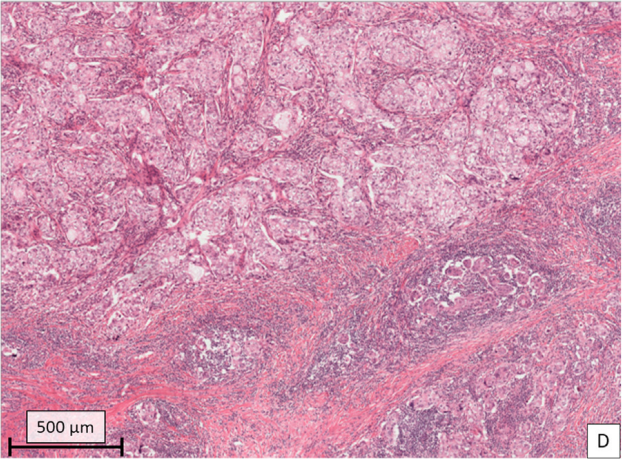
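Carcinoma tissue with an abundant lymphocytic infiltrate. In the upper half, large tumour cells with pale, partly clear cytoplasm form nests and lobules. Thin fibrous septa separate these nests. In the lower half, bands of pink collagenous stroma run across the field. Dense crowds of small cells with dark, round nuclei pack this stroma. These lymphocyte-rich zones surround and press against smaller tumour nests, some of which contain rounded spaces. The boundary between the pale tumour mass and the dark, cell-rich stroma runs roughly across the middle of the field.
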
